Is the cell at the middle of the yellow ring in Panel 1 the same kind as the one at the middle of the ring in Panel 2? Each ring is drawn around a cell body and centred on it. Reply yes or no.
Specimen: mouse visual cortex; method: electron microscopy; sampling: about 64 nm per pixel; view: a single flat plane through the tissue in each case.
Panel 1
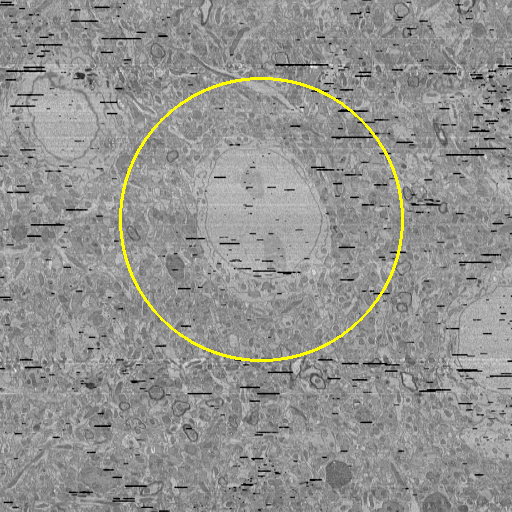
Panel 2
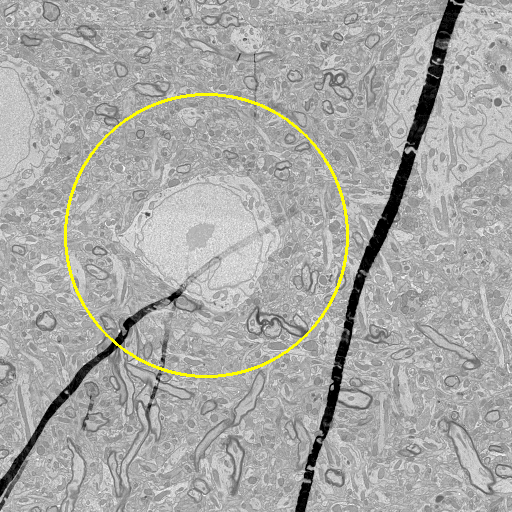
no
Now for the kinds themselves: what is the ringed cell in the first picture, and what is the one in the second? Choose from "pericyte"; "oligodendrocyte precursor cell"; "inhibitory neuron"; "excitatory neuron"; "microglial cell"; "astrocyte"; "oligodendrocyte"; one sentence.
Here the first cell is an excitatory neuron and the second cell is an inhibitory neuron.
